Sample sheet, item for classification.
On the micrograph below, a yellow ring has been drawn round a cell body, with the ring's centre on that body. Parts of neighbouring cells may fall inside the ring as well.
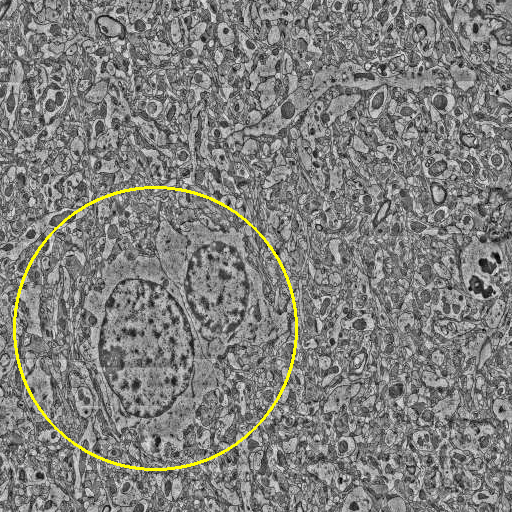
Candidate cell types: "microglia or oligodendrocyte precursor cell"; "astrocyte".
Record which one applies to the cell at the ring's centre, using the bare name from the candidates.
astrocyte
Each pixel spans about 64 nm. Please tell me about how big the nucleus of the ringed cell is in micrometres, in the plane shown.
The nucleus appears roughly 9 by 6 micrometres in this plane.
